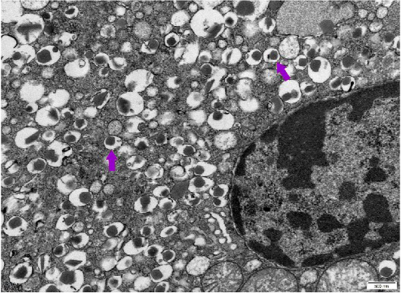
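This electron micrograph shows part of a pancreatic β cell whose cytoplasm is crowded with secretory granules. The granules are round membrane-bound vesicles, many holding a dark, irregularly shaped core set within a wide pale halo. They vary in size and are packed closely across most of the field. A large nucleus occupies the right side, with clumps of dark heterochromatin scattered through a paler nucleoplasm and along the nuclear envelope. Between the granules lie small profiles of other membranous organelles.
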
